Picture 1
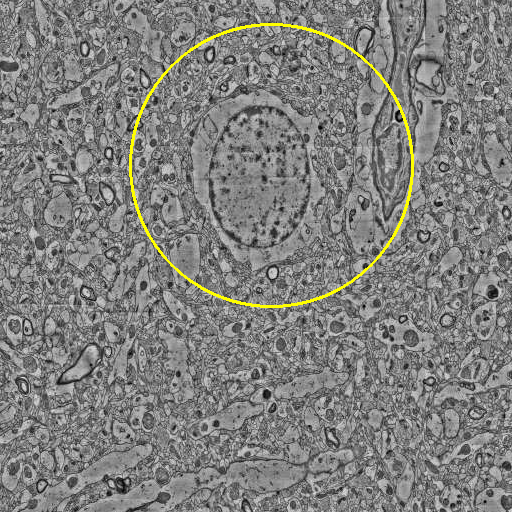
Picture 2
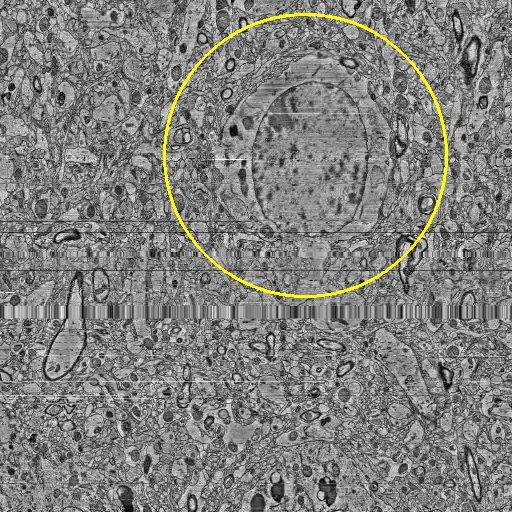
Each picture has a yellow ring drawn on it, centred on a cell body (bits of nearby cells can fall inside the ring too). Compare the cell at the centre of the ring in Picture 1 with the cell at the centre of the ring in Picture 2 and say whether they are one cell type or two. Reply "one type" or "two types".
one type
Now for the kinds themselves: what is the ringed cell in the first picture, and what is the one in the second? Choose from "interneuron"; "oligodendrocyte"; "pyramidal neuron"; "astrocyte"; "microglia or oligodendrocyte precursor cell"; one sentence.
Each one of the two ringed cells is an astrocyte.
